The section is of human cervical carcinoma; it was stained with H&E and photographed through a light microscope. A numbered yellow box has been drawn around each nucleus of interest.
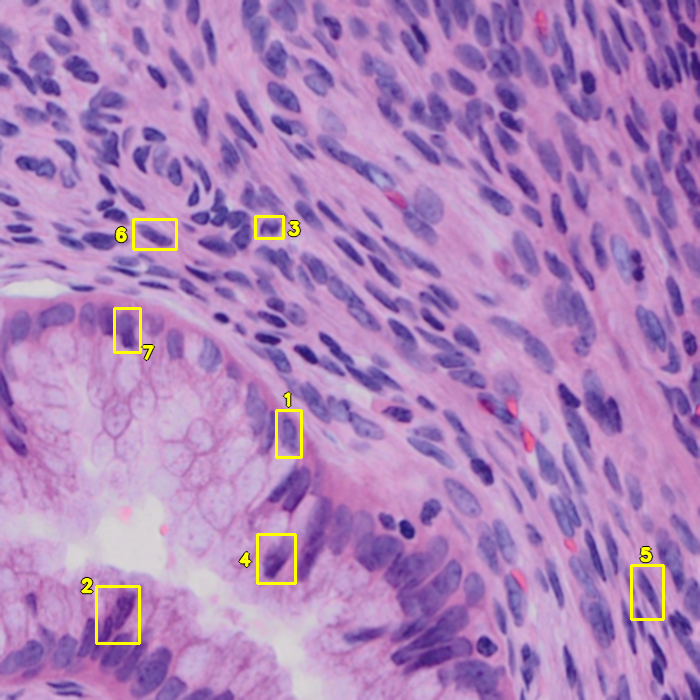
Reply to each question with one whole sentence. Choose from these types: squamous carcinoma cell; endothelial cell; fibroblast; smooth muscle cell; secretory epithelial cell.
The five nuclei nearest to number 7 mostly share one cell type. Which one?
Most of the five nuclei nearest to number 7 are those of secretory epithelial cells.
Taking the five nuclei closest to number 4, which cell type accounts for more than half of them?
Secretory epithelial cells account for more than half of the five nuclei nearest to number 4.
